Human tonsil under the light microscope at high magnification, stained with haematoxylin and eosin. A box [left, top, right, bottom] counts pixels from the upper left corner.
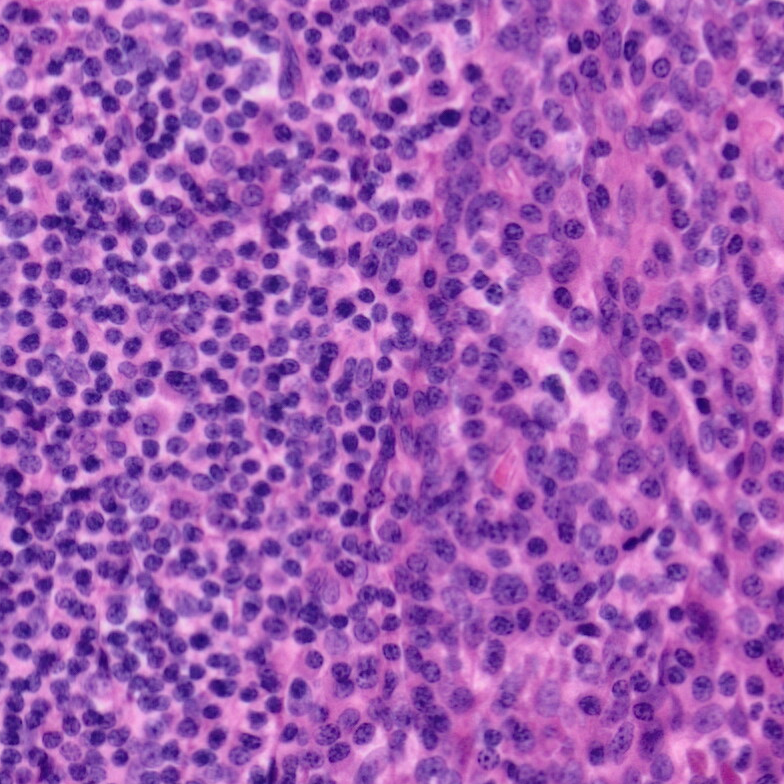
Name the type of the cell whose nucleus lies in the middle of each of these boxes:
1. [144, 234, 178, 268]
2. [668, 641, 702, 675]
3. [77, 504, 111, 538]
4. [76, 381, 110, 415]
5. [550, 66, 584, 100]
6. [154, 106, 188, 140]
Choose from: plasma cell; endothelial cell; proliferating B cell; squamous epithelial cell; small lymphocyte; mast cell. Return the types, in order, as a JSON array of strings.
["small lymphocyte", "plasma cell", "small lymphocyte", "small lymphocyte", "plasma cell", "small lymphocyte"]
